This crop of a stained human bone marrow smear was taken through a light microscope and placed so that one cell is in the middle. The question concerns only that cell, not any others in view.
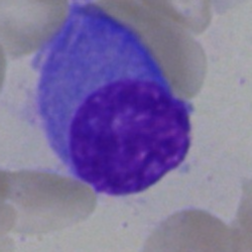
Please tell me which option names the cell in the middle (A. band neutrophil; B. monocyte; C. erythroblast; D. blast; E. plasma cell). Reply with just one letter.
E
